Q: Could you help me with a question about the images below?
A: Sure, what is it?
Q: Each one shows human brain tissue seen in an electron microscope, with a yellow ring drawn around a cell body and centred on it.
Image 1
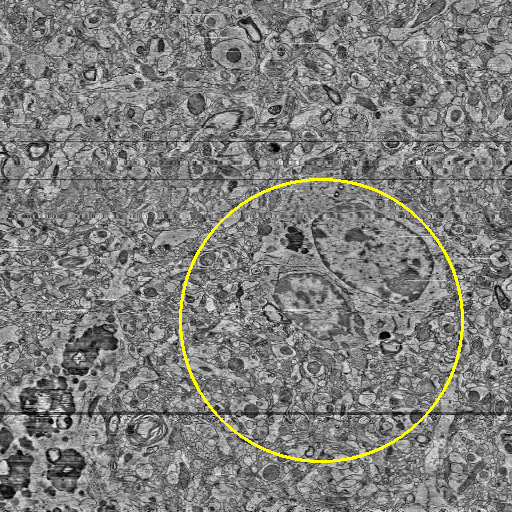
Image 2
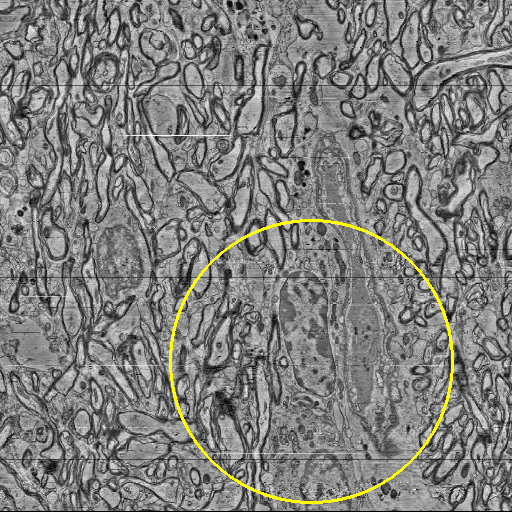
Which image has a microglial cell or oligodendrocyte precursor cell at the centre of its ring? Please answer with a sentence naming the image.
Image 2 has it at the centre of its ring.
